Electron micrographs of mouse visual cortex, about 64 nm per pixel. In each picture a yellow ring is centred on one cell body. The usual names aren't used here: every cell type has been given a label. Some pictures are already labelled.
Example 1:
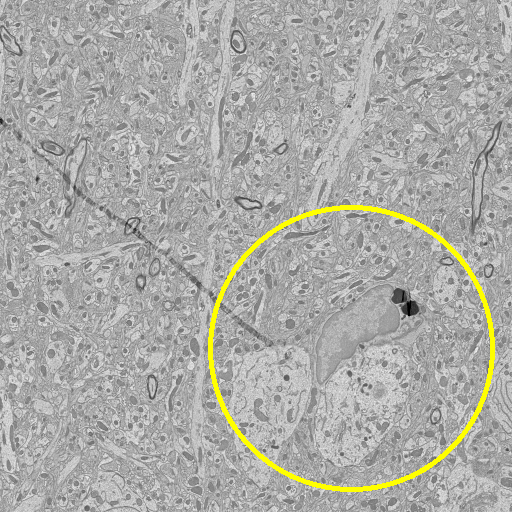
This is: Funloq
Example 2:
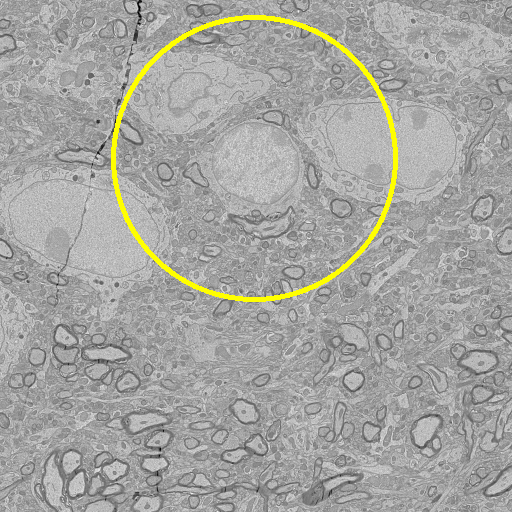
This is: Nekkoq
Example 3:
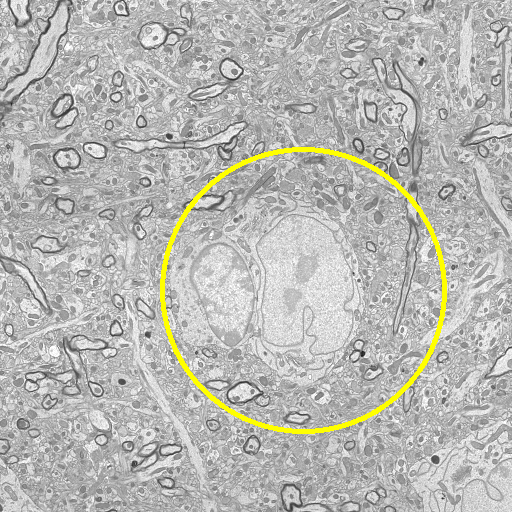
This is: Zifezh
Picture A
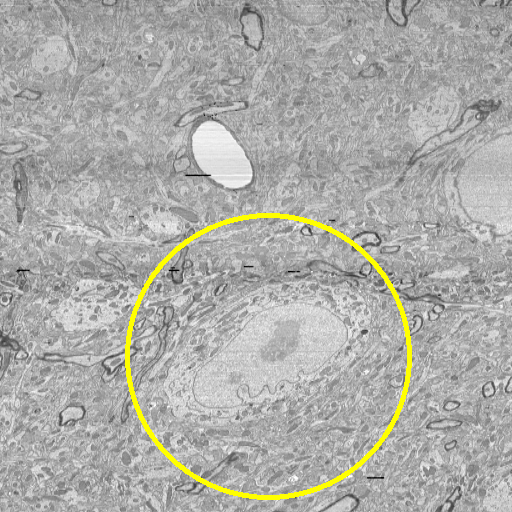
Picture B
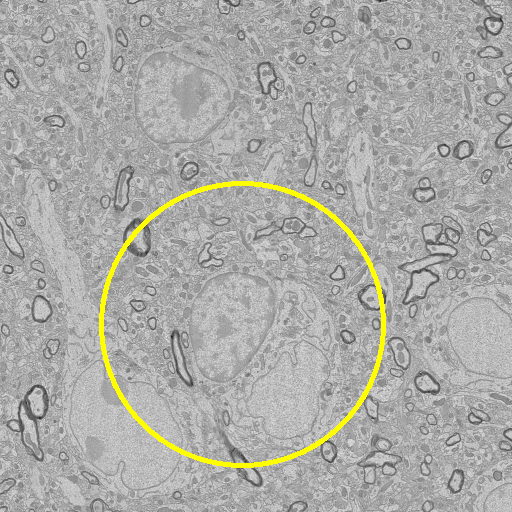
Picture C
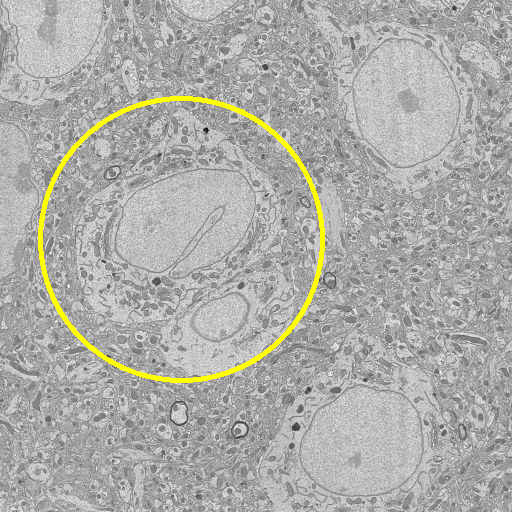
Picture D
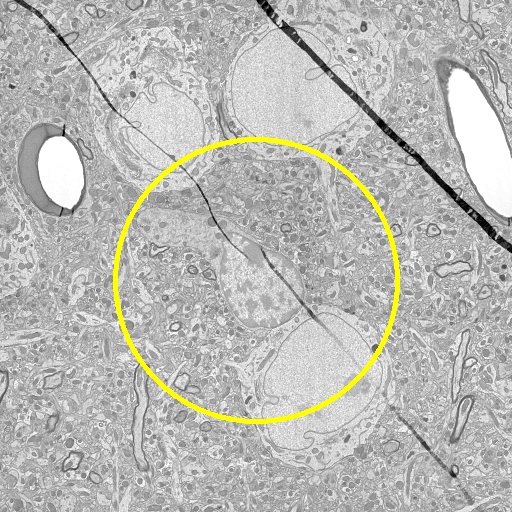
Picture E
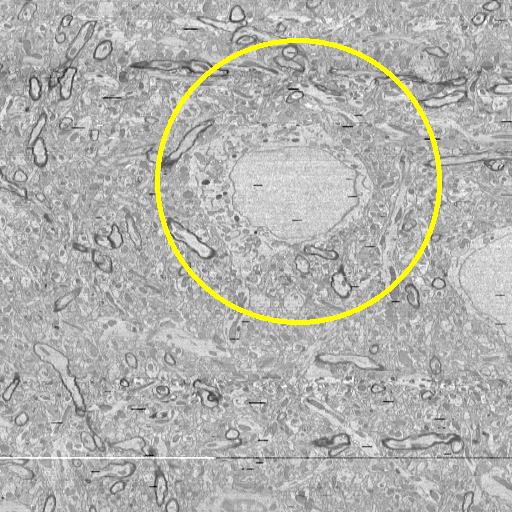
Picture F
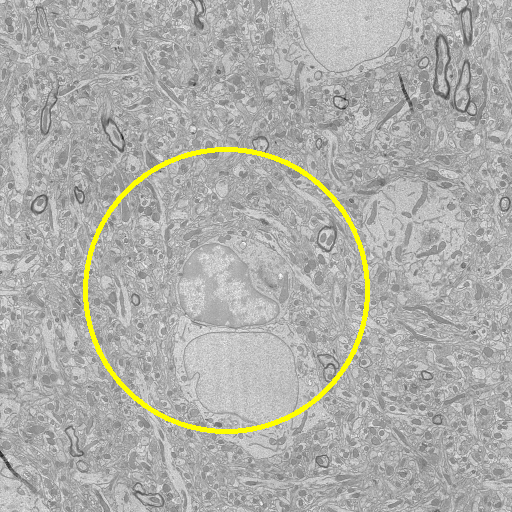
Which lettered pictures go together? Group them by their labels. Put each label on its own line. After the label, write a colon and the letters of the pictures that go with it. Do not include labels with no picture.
Nekkoq: B, D, F
Zifezh: A, C, E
